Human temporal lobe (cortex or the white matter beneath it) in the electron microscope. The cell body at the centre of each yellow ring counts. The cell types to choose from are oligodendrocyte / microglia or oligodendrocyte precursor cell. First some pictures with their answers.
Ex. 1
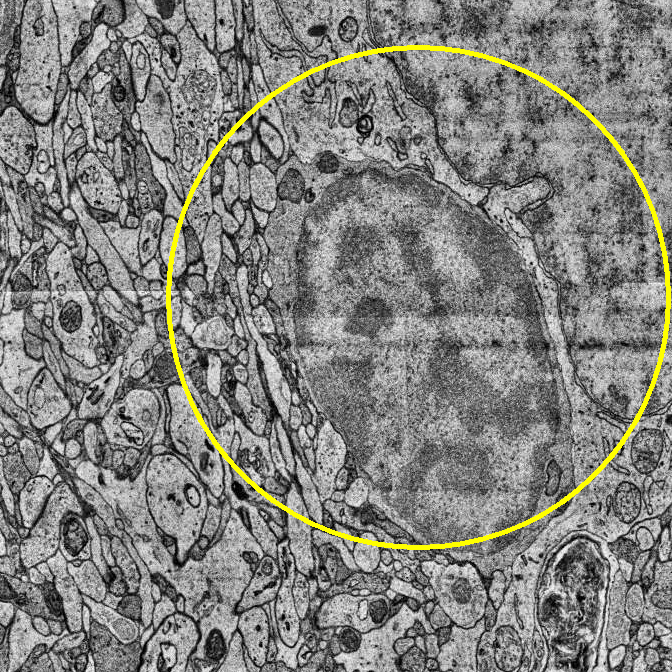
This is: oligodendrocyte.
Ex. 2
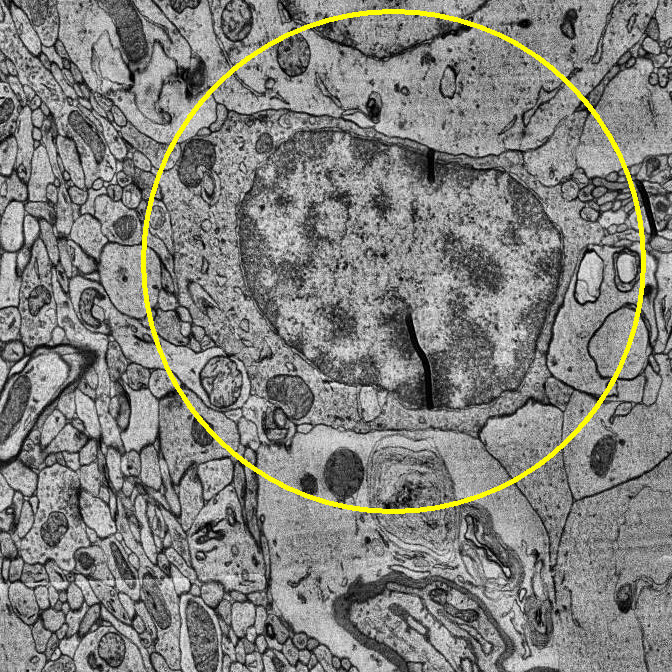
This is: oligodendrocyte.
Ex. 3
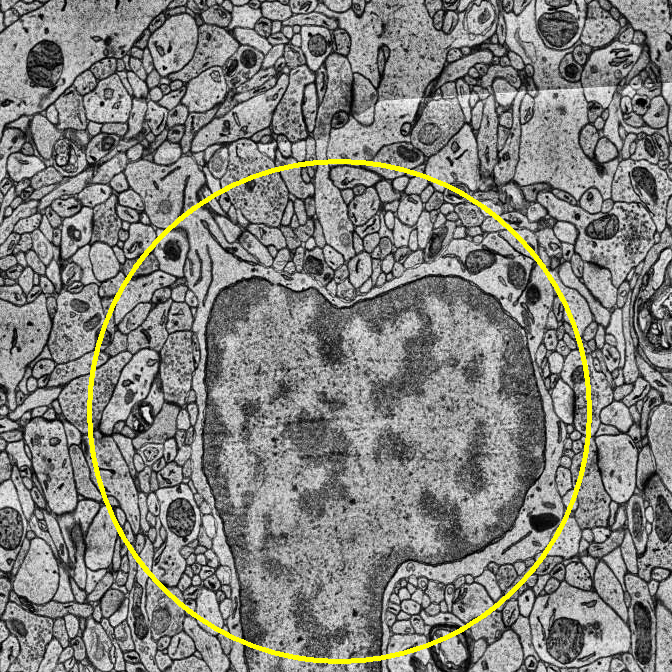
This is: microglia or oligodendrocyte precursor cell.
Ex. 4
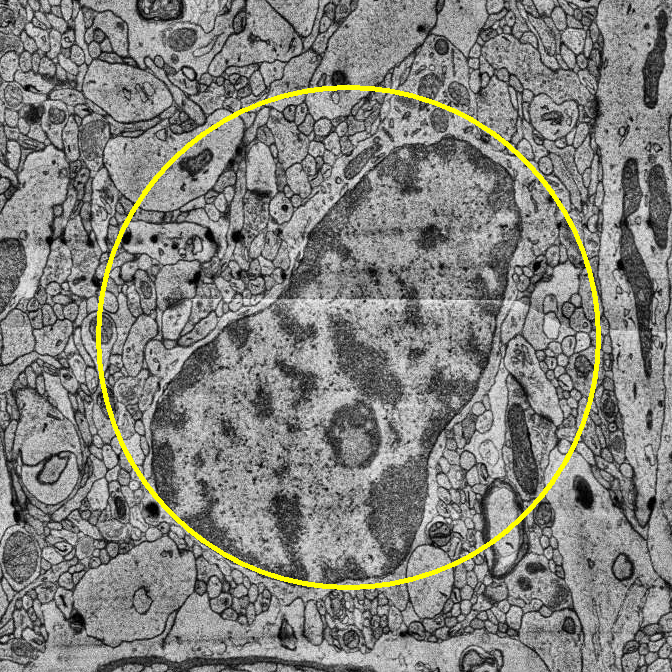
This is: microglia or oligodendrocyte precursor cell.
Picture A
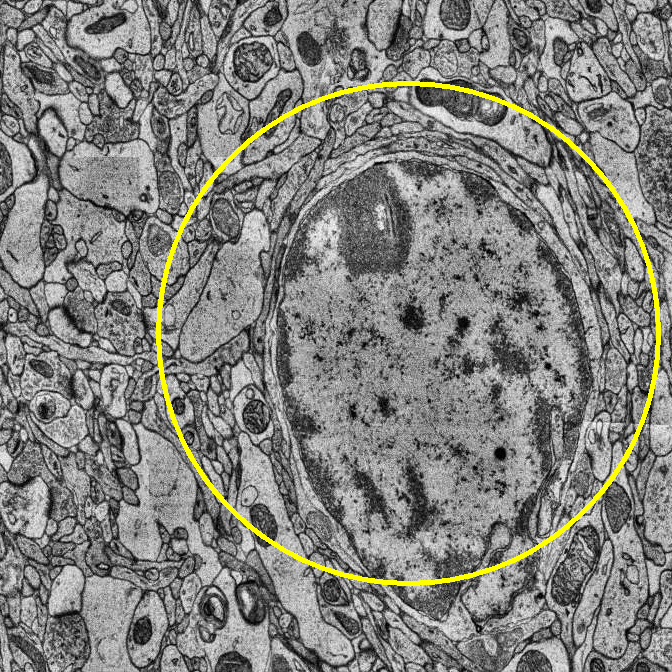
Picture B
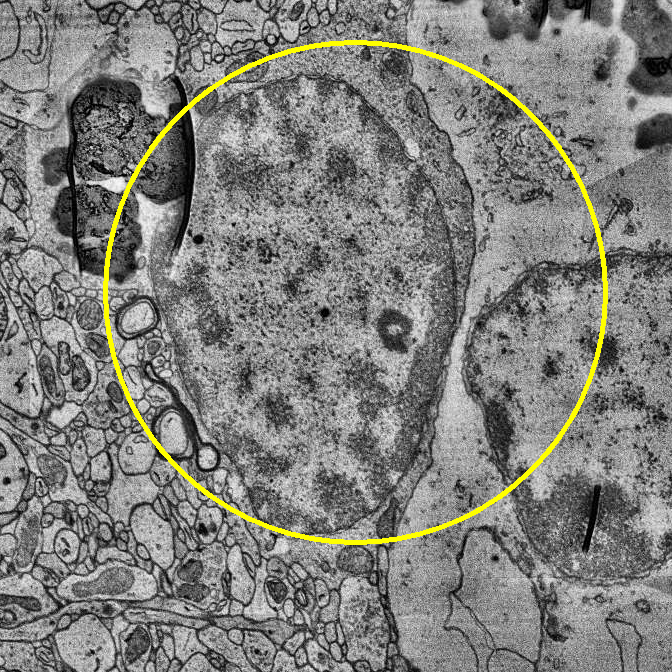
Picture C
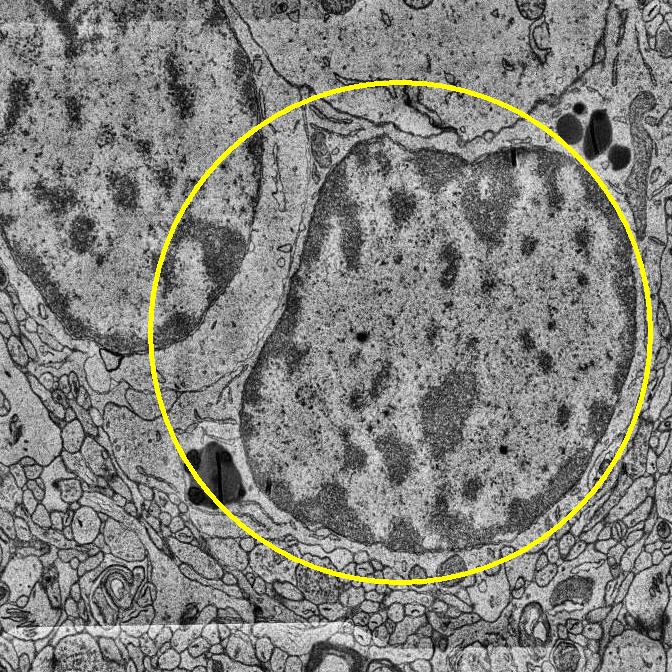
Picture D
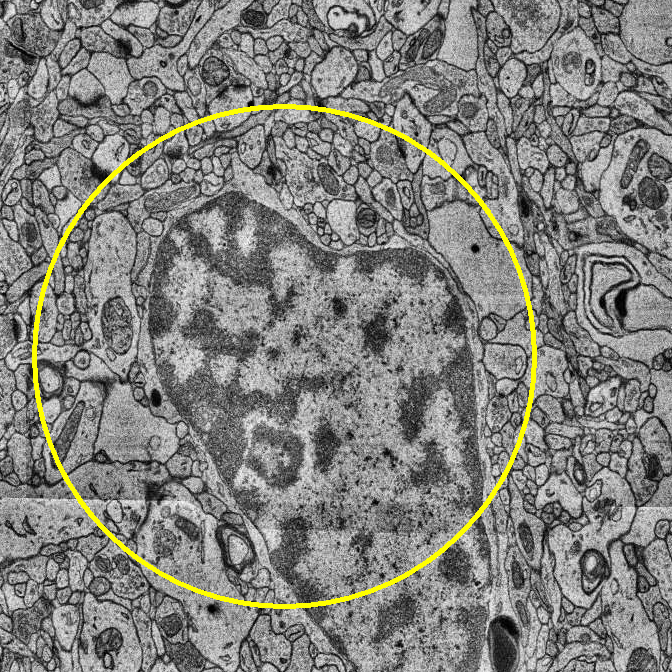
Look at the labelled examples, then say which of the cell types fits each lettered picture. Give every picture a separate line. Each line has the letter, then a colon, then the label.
A: microglia or oligodendrocyte precursor cell.
B: oligodendrocyte.
C: microglia or oligodendrocyte precursor cell.
D: microglia or oligodendrocyte precursor cell.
